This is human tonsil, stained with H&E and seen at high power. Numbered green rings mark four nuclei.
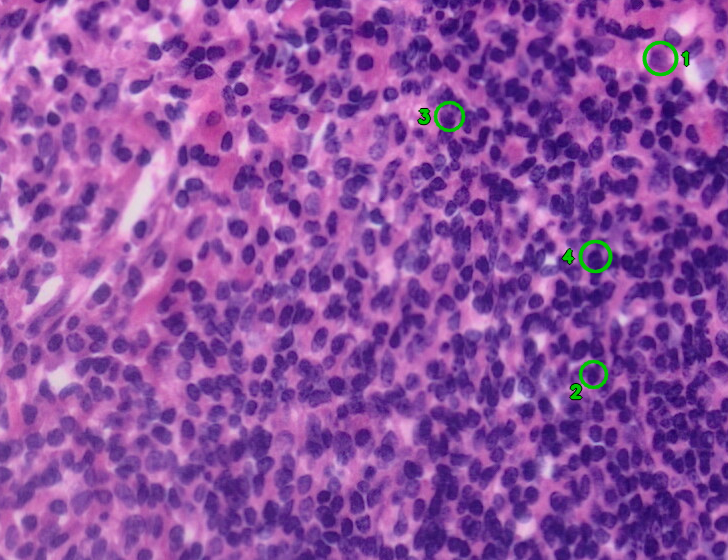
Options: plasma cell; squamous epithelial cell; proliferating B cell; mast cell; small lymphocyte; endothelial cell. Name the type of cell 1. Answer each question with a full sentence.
That cell with number 1 is an endothelial cell.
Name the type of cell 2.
The cell to which the number 2 is assigned is a small lymphocyte.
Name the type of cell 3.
Among the marked cells, number 3 is a small lymphocyte.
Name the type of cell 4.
In this section, the cell tagged 4 is a small lymphocyte.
